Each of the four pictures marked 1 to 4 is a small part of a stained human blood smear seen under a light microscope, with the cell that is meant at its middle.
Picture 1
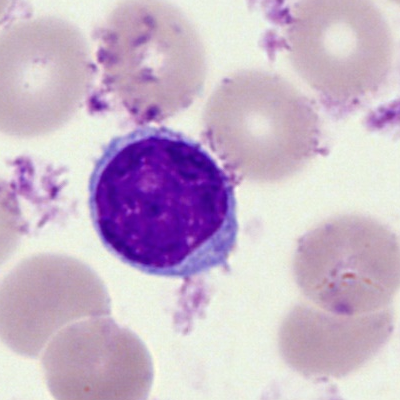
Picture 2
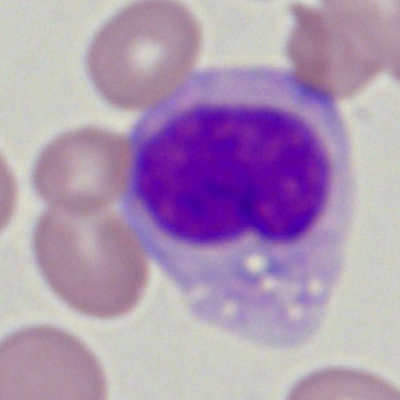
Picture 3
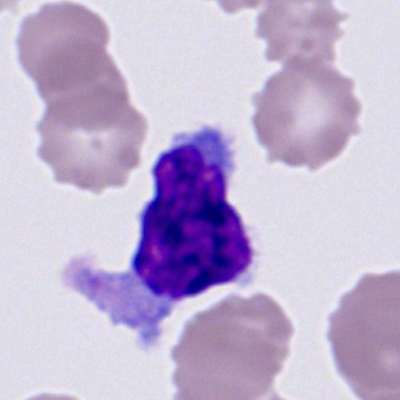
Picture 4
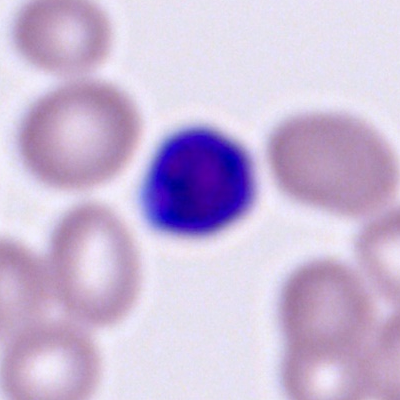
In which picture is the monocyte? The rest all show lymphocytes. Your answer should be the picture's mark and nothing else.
2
